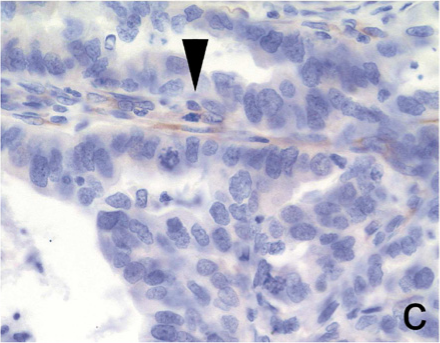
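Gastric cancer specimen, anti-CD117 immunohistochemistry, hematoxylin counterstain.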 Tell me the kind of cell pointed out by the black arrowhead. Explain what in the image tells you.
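Stromal cells. The arrowhead points to a thin strand of elongated spindle-shaped cells between epithelial cell layers. Faint brown stain runs along this thin strand. The surrounding crowded epithelial cells with large oval nuclei are unstained.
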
